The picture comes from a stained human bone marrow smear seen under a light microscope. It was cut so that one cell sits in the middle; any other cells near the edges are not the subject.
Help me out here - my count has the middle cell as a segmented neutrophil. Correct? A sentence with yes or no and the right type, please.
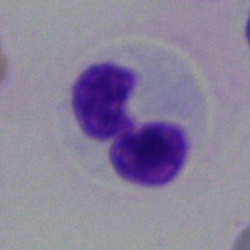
Yes, it is a segmented neutrophil that occupies the centre of the crop.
